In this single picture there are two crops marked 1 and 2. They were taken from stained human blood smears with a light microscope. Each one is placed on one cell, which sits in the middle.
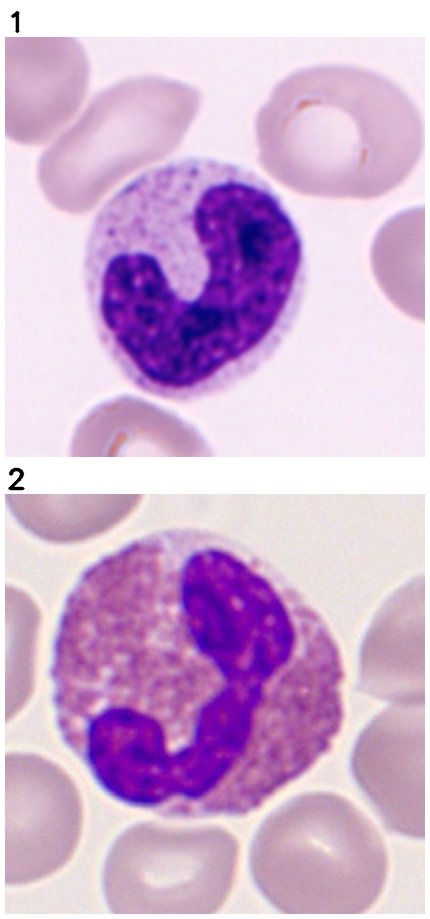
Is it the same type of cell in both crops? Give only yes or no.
no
